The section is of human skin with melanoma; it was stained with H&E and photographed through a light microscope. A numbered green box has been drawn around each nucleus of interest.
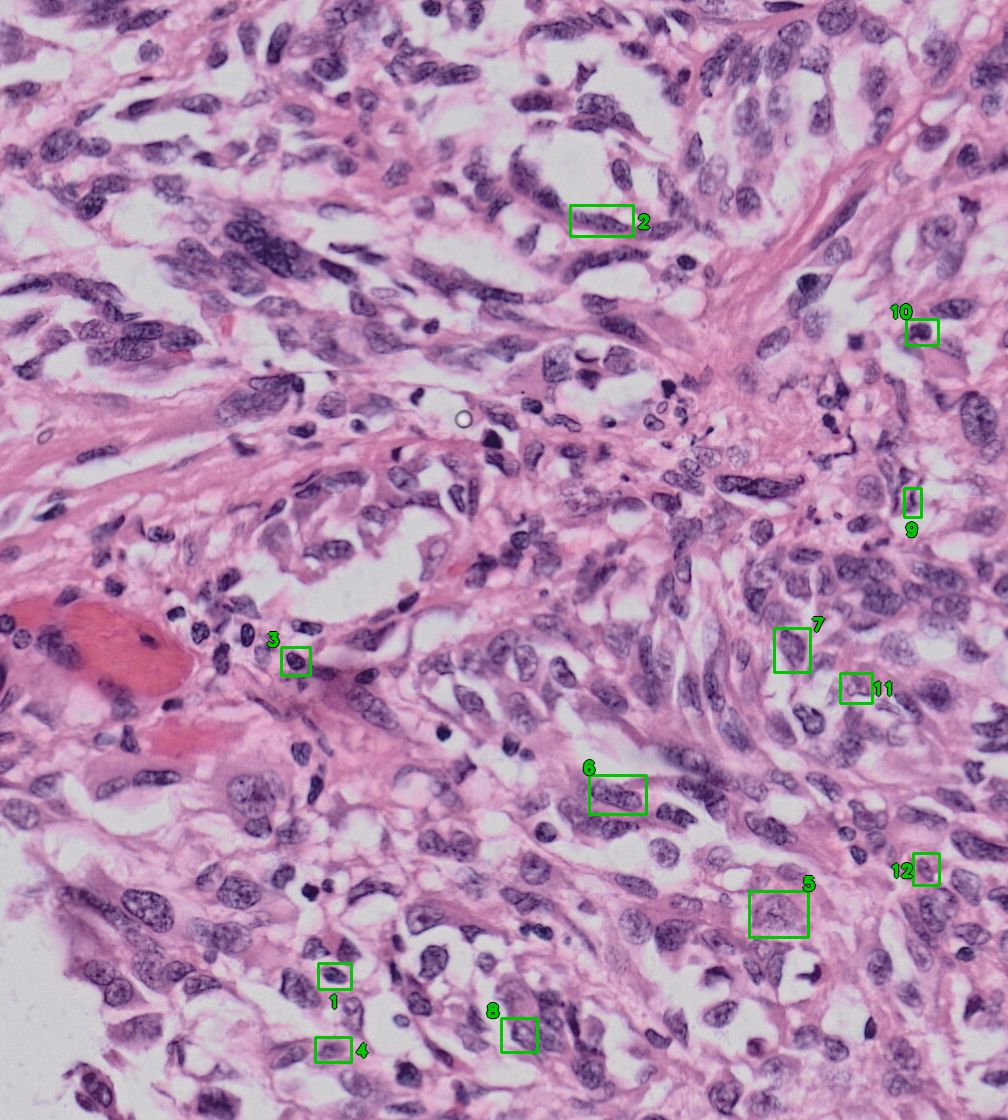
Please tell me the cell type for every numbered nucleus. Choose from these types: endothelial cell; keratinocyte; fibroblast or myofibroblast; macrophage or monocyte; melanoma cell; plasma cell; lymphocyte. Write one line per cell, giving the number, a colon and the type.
1: lymphocyte
2: melanoma cell
3: lymphocyte
4: melanoma cell
5: melanoma cell
6: melanoma cell
7: melanoma cell
8: melanoma cell
9: fibroblast or myofibroblast
10: lymphocyte
11: melanoma cell
12: macrophage or monocyte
